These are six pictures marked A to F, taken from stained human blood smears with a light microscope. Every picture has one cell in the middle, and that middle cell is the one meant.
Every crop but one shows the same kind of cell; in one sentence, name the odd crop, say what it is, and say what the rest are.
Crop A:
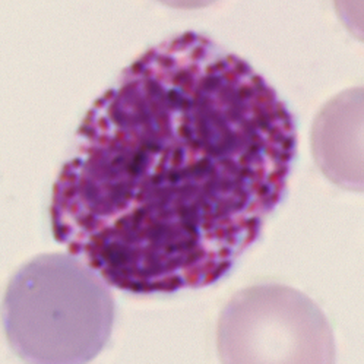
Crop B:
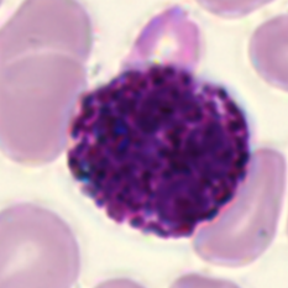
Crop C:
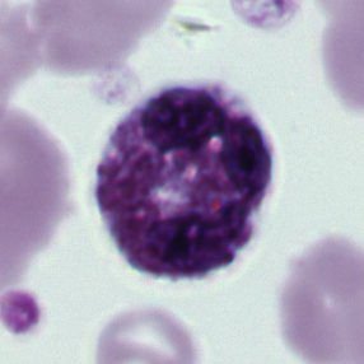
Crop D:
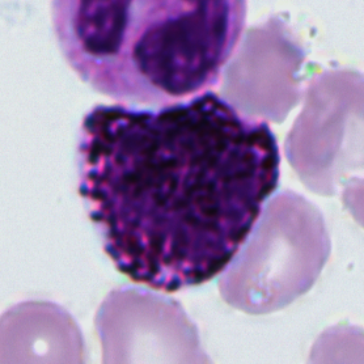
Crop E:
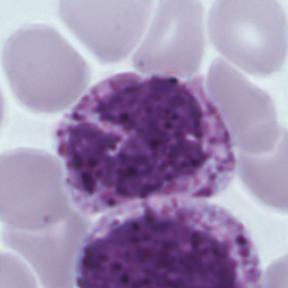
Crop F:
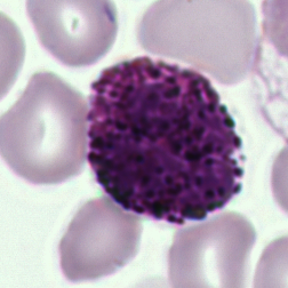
Crop C stands apart as an eosinophil, whereas the remaining crops all show basophils.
